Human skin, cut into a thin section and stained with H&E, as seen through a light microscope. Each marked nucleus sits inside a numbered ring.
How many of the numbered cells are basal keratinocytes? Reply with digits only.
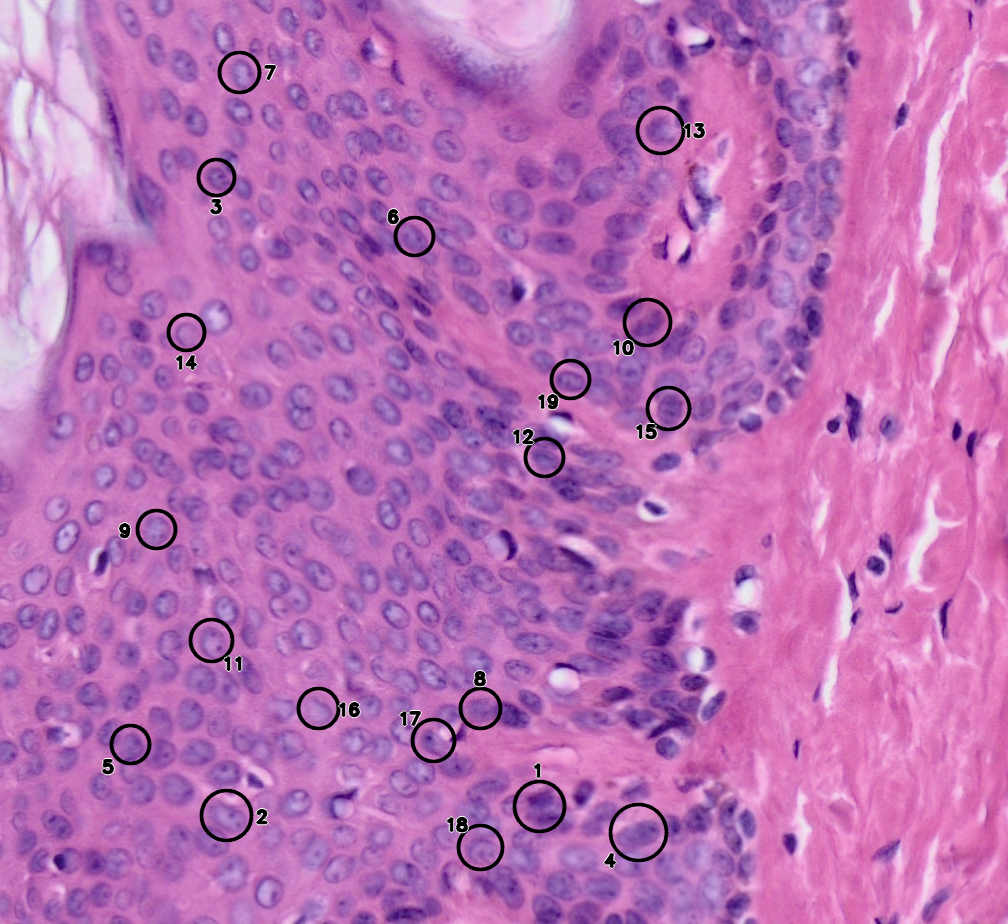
9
